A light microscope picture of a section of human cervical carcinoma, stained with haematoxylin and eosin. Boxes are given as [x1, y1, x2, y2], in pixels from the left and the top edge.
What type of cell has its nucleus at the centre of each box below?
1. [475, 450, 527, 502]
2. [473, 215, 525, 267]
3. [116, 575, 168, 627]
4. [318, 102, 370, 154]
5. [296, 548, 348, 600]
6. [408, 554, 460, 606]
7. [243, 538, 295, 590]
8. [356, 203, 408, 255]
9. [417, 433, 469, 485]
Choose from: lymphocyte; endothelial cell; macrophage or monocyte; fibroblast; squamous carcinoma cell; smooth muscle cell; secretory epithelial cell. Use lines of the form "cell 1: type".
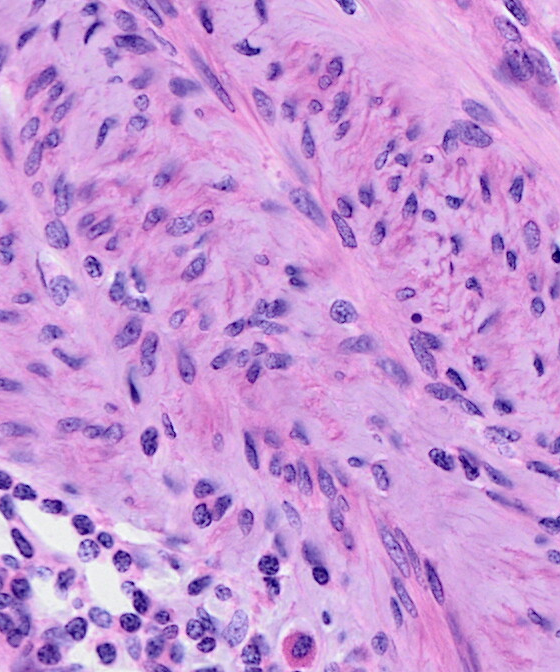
cell 1: fibroblast
cell 2: smooth muscle cell
cell 3: lymphocyte
cell 4: smooth muscle cell
cell 5: lymphocyte
cell 6: smooth muscle cell
cell 7: lymphocyte
cell 8: smooth muscle cell
cell 9: lymphocyte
